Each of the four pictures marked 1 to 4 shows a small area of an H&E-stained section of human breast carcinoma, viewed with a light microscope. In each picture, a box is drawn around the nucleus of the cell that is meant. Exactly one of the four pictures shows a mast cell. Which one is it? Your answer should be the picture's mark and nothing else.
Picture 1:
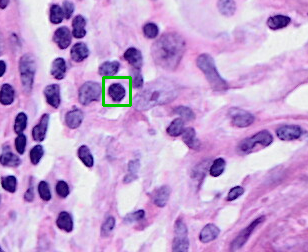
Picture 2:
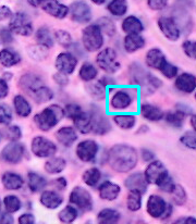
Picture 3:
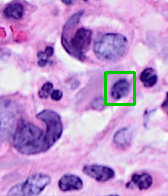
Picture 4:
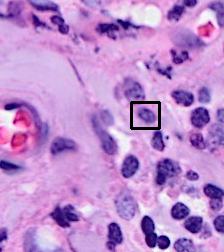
4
